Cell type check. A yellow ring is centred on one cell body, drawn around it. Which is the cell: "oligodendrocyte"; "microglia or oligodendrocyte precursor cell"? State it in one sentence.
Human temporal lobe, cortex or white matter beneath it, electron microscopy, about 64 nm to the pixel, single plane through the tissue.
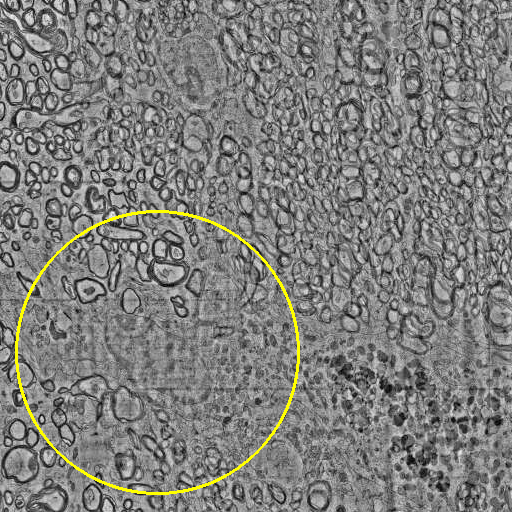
The cell body at the ring's centre belongs to a microglial cell or oligodendrocyte precursor cell.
